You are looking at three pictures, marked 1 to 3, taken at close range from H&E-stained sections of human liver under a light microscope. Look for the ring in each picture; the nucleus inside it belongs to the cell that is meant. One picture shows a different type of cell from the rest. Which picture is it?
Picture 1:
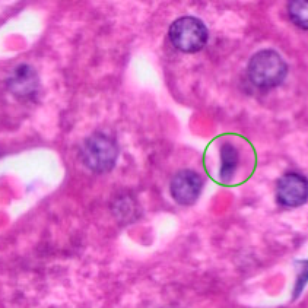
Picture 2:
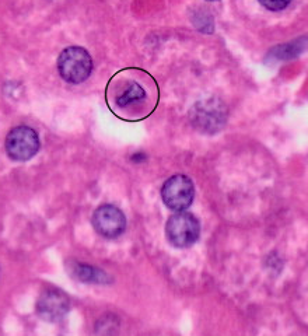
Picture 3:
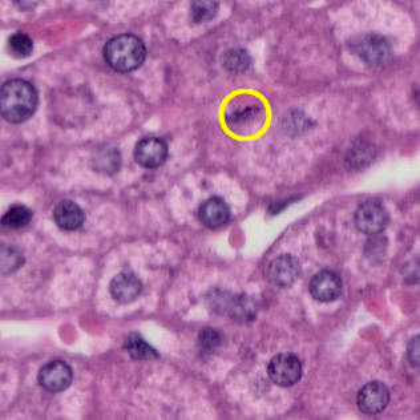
3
